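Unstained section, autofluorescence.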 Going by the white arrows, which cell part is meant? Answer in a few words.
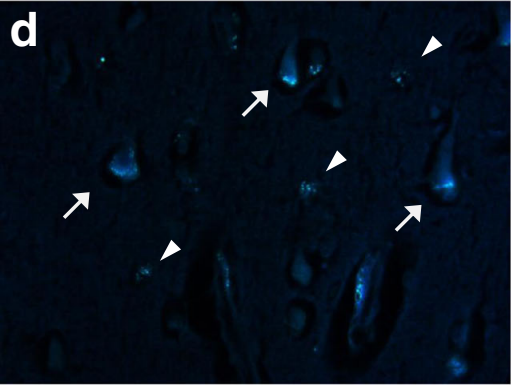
intraneuronal inclusions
